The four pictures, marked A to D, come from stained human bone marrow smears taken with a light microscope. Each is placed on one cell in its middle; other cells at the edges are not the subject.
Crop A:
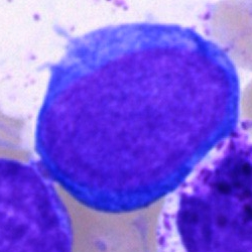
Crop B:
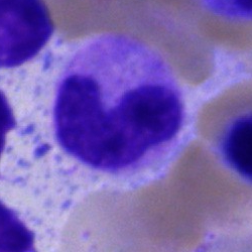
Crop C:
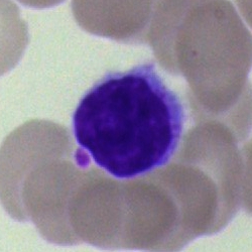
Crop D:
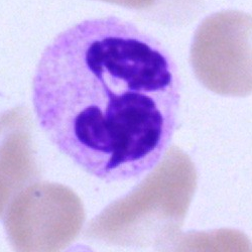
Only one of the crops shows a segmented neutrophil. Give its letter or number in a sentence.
The cell identified as a segmented neutrophil is the one in crop D.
